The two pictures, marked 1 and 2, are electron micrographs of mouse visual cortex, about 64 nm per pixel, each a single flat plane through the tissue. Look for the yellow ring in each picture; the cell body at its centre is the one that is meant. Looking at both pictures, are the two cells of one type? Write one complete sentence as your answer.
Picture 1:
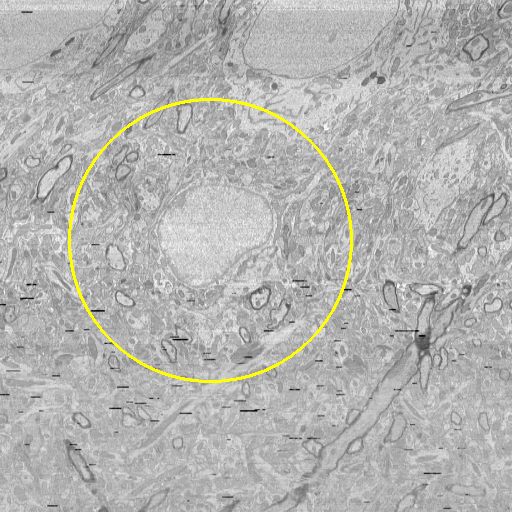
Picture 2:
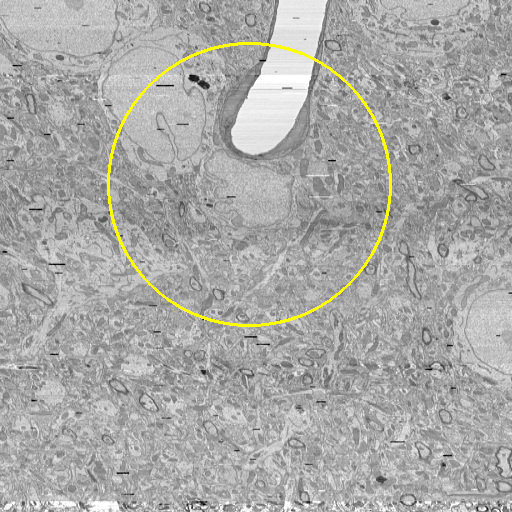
No, the types are not the same, since picture 1 shows an astrocyte and picture 2 an oligodendrocyte precursor cell.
